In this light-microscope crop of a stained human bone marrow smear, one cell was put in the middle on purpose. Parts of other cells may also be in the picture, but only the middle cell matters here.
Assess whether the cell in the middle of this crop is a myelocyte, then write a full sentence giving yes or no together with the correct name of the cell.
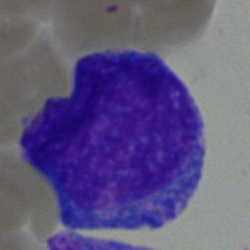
No, the middle of this crop is occupied by a blast rather than a myelocyte.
